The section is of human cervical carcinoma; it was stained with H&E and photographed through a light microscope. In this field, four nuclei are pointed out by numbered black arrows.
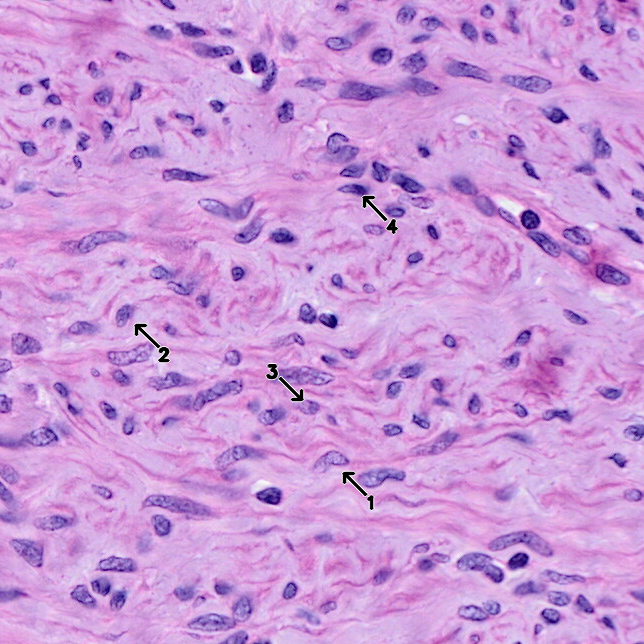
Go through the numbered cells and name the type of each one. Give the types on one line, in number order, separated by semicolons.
smooth muscle cell; smooth muscle cell; smooth muscle cell; fibroblast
